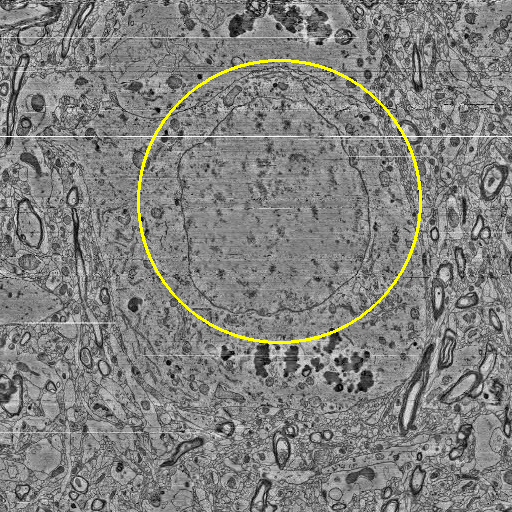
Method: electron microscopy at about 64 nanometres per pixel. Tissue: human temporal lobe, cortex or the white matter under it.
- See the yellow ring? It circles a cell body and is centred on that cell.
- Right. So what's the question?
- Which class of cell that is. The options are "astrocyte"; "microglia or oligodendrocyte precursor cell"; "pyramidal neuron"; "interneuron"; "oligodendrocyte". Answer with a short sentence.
The centre of the ring holds a pyramidal neuron.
